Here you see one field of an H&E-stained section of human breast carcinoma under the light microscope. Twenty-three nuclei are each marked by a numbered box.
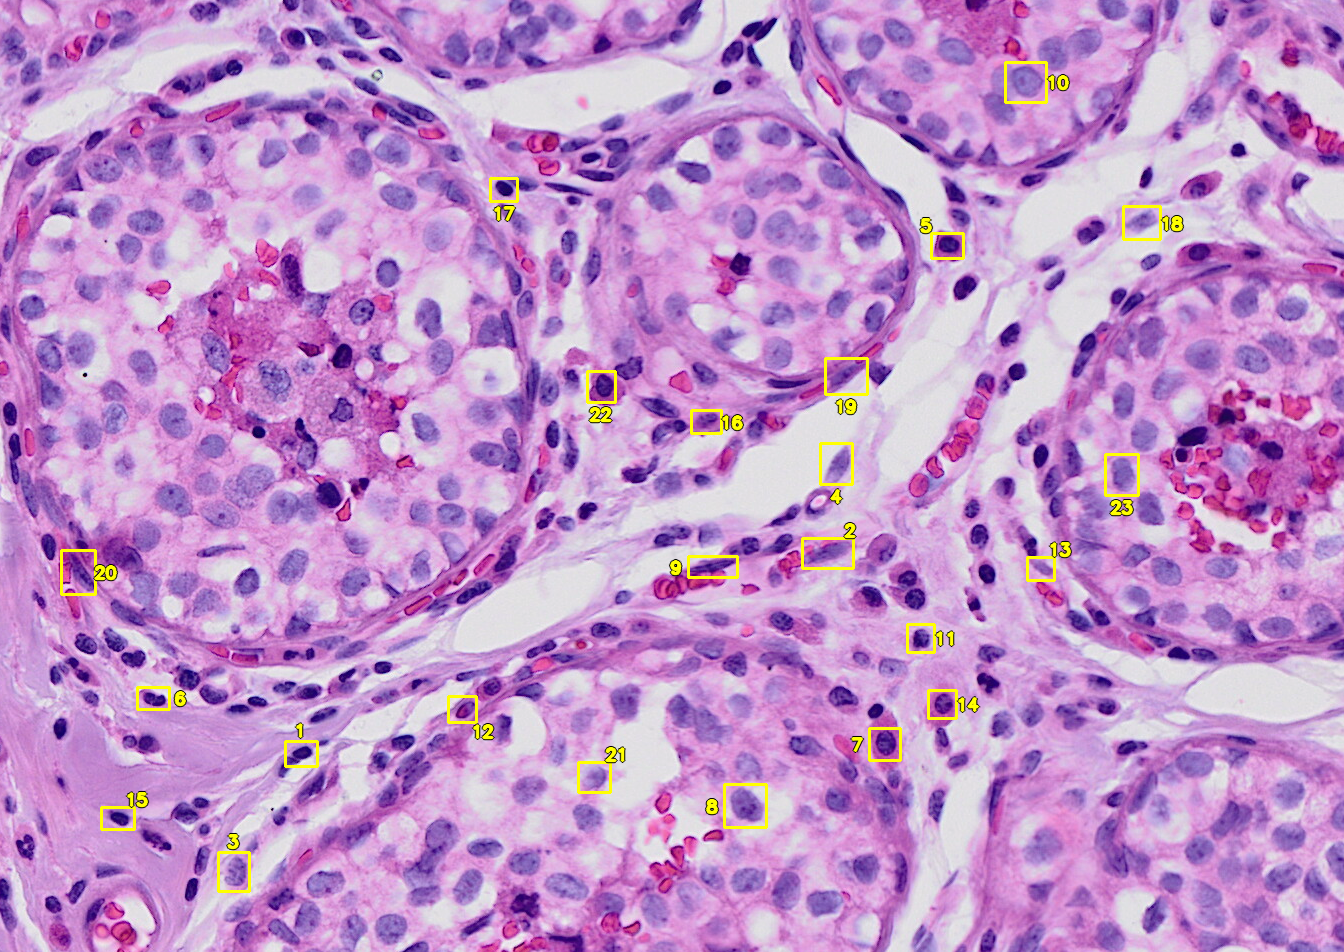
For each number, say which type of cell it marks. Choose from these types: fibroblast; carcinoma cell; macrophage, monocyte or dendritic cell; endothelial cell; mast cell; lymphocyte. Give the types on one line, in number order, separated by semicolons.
lymphocyte; endothelial cell; macrophage, monocyte or dendritic cell; fibroblast; mast cell; lymphocyte; mast cell; carcinoma cell; endothelial cell; carcinoma cell; lymphocyte; endothelial cell; endothelial cell; mast cell; lymphocyte; mast cell; lymphocyte; fibroblast; endothelial cell; endothelial cell; carcinoma cell; mast cell; carcinoma cell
